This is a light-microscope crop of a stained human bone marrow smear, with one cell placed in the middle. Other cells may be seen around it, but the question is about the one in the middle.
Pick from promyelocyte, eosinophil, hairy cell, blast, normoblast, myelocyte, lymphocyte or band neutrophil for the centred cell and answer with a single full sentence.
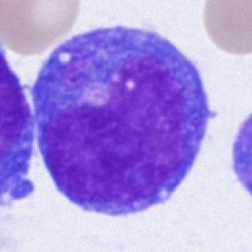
Located at the centre of the crop is a promyelocyte.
